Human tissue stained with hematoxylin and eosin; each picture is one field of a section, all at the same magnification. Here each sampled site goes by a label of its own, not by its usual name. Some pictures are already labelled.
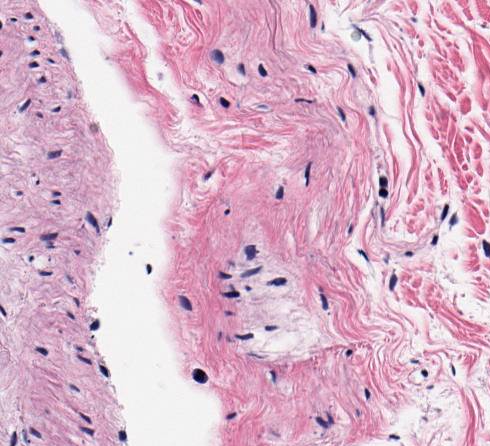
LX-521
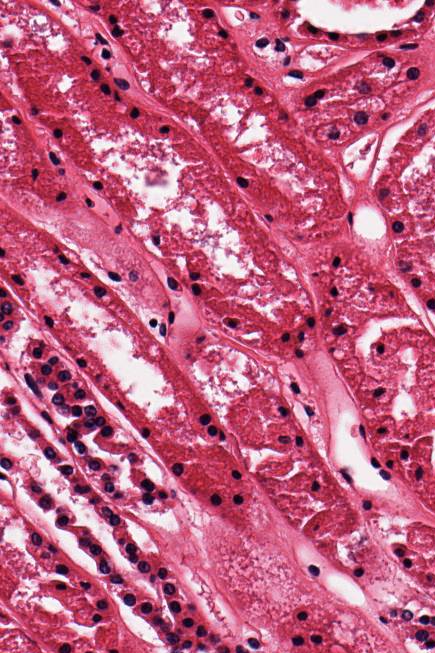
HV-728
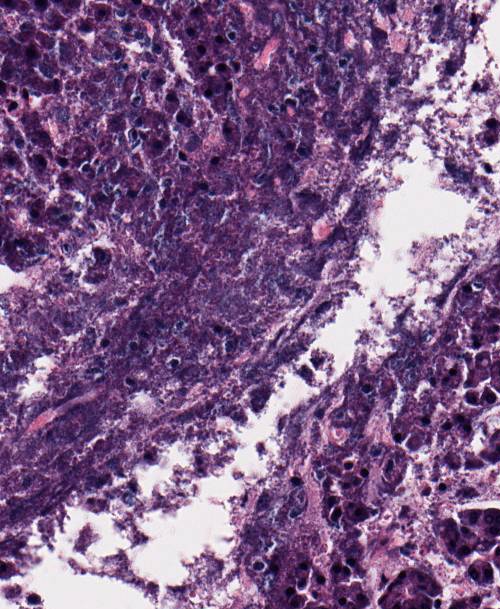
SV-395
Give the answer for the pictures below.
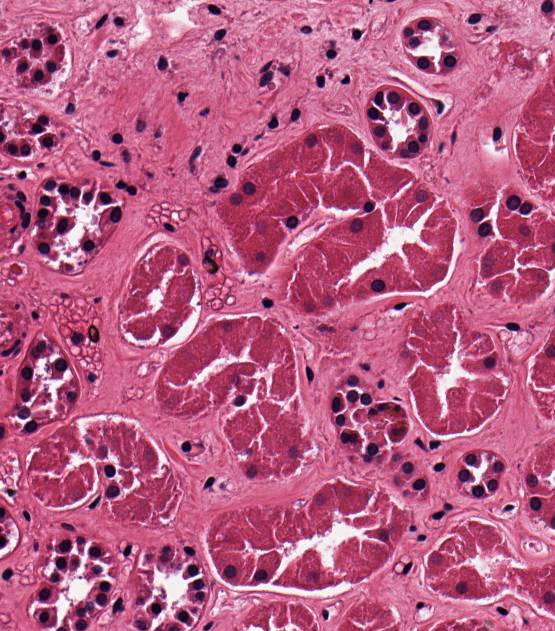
HV-728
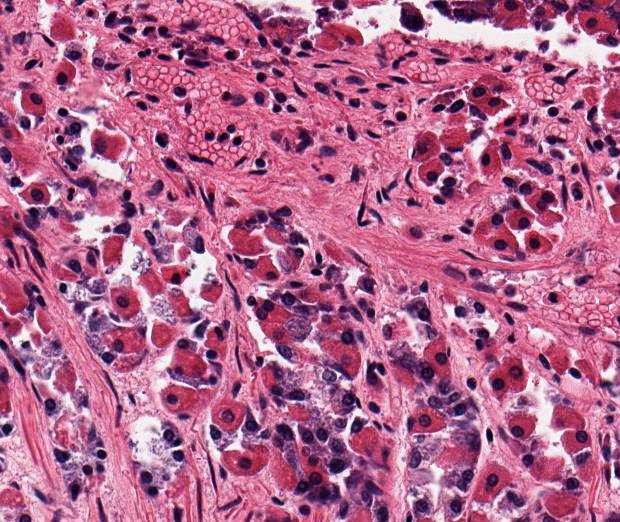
LX-521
